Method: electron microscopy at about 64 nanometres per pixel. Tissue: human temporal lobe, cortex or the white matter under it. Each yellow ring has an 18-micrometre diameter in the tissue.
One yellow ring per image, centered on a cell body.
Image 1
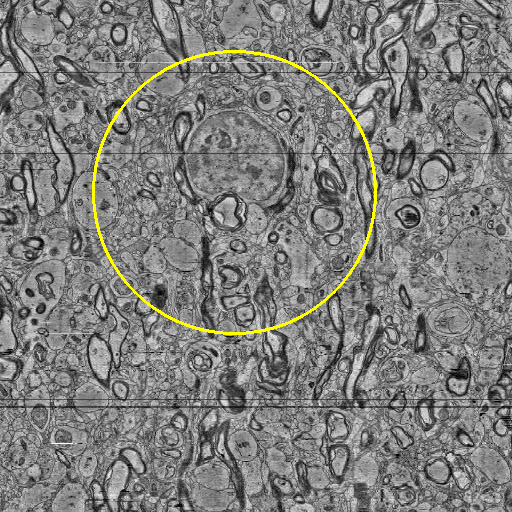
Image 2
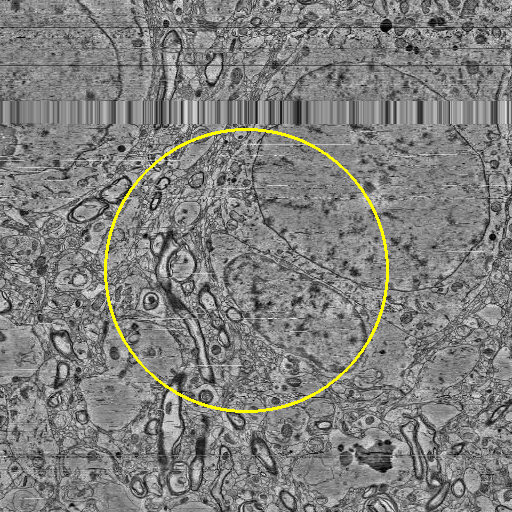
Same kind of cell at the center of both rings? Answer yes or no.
no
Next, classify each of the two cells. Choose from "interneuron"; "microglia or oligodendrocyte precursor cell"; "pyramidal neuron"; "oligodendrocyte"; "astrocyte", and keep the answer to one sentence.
In the first picture it is an oligodendrocyte; in the second it is a microglial cell or oligodendrocyte precursor cell.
